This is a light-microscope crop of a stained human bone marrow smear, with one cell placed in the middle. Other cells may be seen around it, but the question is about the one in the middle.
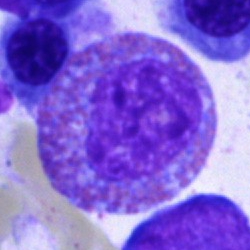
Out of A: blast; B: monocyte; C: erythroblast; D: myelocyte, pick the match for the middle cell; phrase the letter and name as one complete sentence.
Located in the middle of the crop is a myelocyte, and option D is therefore correct.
